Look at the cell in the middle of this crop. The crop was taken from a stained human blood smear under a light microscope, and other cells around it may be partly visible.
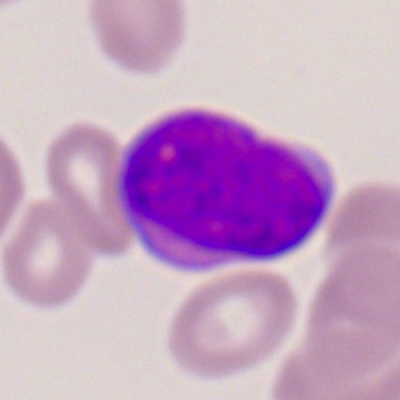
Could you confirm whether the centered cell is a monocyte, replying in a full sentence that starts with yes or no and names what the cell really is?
No, the cell in the centre of the crop is a myeloblast as opposed to a monocyte.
